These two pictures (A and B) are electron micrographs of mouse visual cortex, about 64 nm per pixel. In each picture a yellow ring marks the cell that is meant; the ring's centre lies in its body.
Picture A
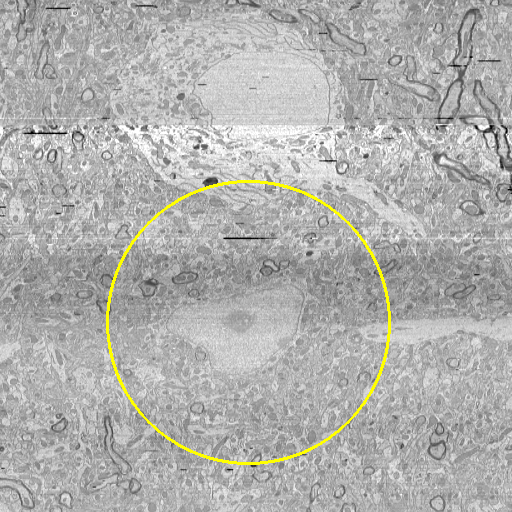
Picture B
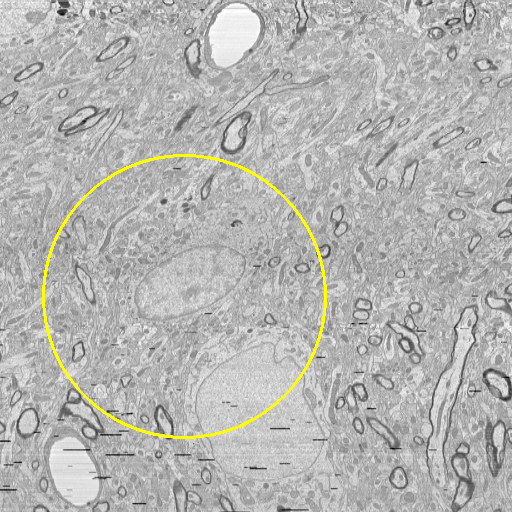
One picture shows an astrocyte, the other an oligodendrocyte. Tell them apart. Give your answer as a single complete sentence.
The cell in picture A is an astrocyte, and the one in picture B is an oligodendrocyte.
